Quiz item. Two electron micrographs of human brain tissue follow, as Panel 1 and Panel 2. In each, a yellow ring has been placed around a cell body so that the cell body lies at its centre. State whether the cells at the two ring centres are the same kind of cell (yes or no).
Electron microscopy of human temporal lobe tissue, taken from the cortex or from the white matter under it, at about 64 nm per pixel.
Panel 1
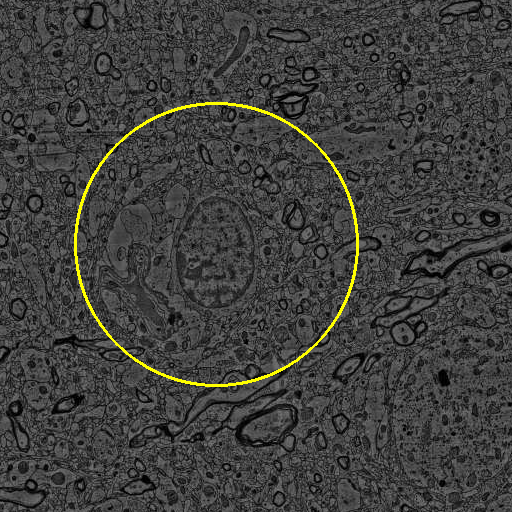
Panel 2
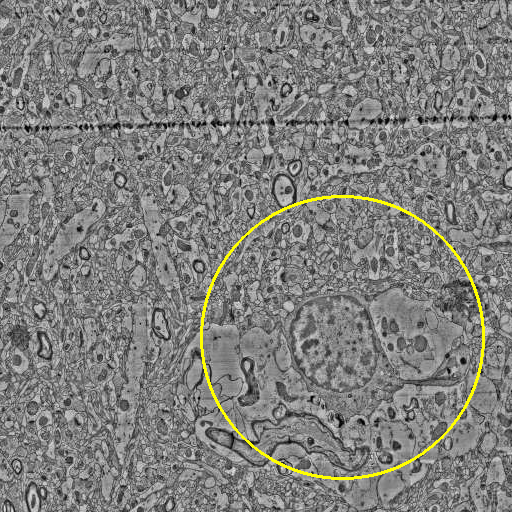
yes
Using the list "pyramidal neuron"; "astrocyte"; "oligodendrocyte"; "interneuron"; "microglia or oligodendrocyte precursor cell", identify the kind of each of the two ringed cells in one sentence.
Each of the two rings is centred on an oligodendrocyte.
